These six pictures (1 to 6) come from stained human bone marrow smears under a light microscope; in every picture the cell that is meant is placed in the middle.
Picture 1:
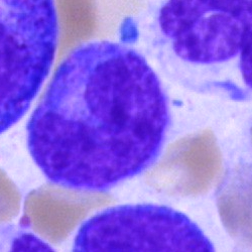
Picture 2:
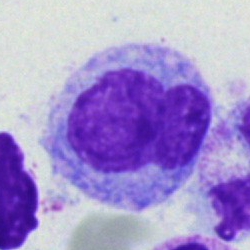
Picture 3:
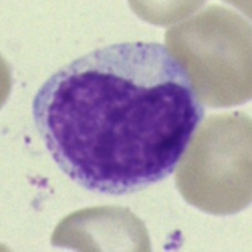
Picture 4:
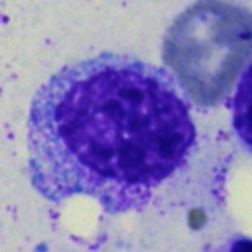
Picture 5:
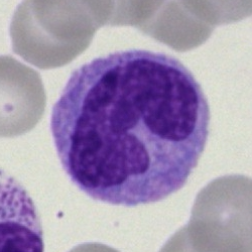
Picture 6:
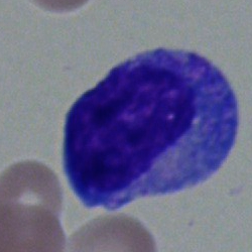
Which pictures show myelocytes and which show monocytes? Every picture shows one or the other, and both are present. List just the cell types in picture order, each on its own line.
monocyte
monocyte
myelocyte
myelocyte
monocyte
myelocyte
